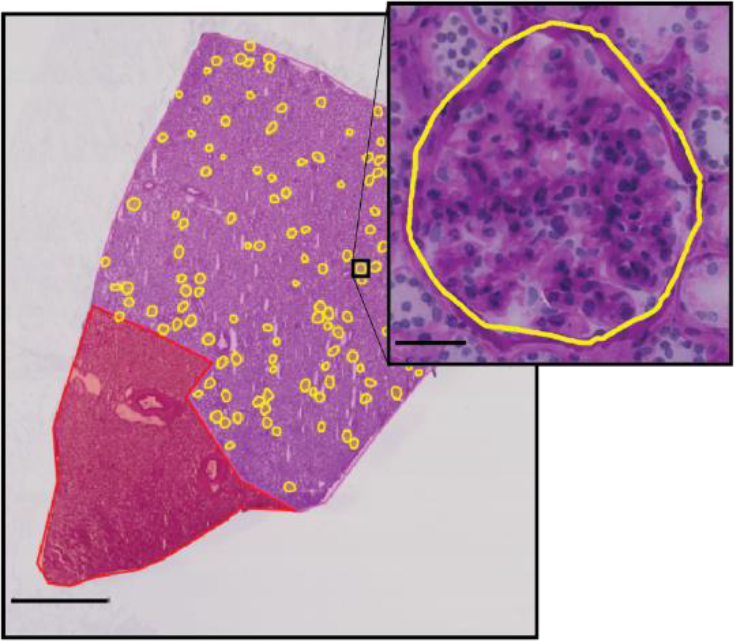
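This is a section of kidney, and the enlarged view shows a glomerulus: a round, compact tuft crowded with dark purple nuclei, surrounded by a thin space and capsule. Around it lie tubules lined by cells with paler pink-purple cytoplasm. At low power, many such round glomeruli are scattered through the purple cortex.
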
